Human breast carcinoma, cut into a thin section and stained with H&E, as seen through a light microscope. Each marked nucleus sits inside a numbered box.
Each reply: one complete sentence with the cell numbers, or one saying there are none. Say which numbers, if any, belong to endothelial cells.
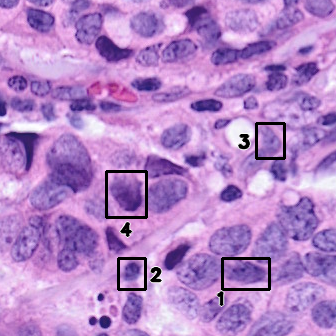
Only at number 3 is there an endothelial cell among the marked cells.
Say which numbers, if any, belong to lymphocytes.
In short, cell 2 is a lymphocyte; the others are not.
